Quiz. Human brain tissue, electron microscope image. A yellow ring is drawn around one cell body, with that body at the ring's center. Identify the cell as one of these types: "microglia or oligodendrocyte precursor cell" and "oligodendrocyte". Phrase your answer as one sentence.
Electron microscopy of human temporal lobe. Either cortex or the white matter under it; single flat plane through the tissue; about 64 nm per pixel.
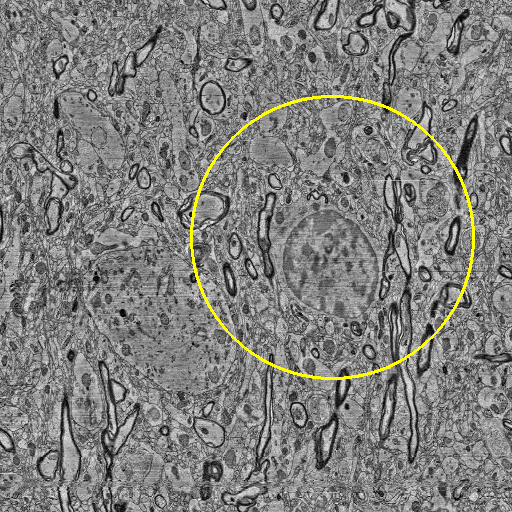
At the center of the ring sits an oligodendrocyte.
